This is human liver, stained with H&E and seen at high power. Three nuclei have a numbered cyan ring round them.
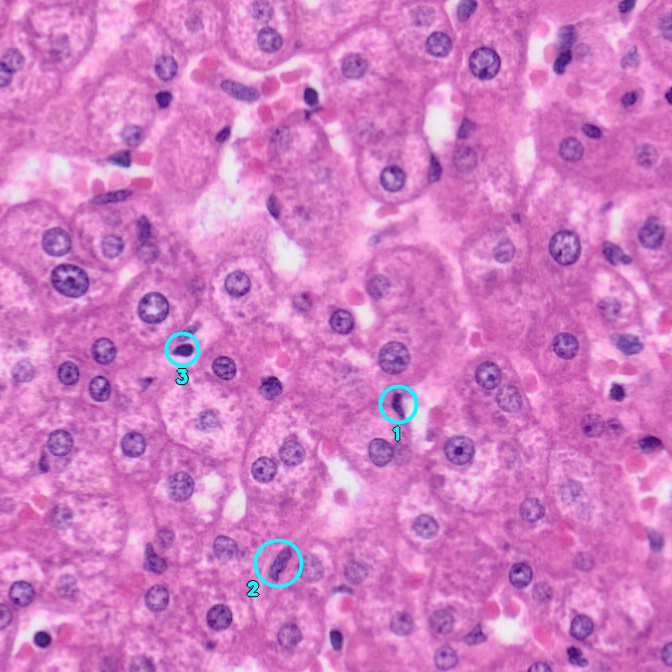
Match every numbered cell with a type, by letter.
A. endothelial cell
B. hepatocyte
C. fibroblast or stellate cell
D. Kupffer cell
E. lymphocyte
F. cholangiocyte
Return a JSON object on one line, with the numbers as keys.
{"1": "C", "2": "D", "3": "E"}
